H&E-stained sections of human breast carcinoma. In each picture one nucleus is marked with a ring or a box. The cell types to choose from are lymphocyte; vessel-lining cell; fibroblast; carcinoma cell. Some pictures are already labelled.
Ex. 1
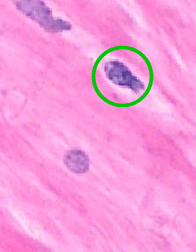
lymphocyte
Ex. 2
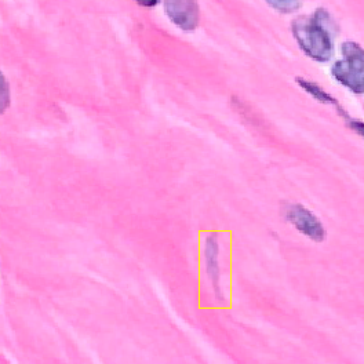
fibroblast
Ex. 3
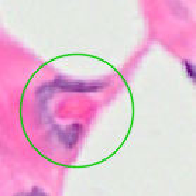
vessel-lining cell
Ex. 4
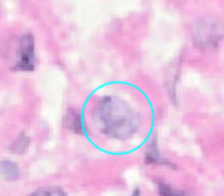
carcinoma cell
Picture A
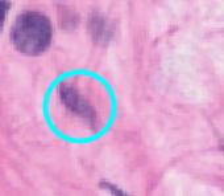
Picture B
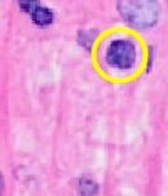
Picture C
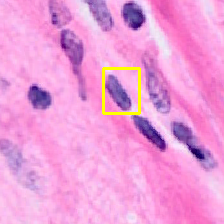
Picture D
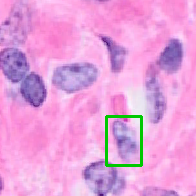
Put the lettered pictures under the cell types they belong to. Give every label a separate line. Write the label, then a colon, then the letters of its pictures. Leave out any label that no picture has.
lymphocyte: B, C
vessel-lining cell: D
fibroblast: A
